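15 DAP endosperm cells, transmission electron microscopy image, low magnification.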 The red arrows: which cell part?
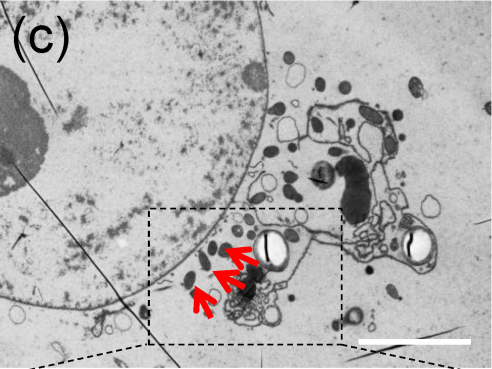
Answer: mitochondria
